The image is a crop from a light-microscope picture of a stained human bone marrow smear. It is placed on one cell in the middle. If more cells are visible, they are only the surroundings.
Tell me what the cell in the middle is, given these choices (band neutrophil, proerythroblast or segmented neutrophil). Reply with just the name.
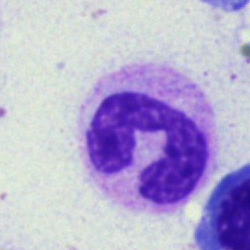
band neutrophil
